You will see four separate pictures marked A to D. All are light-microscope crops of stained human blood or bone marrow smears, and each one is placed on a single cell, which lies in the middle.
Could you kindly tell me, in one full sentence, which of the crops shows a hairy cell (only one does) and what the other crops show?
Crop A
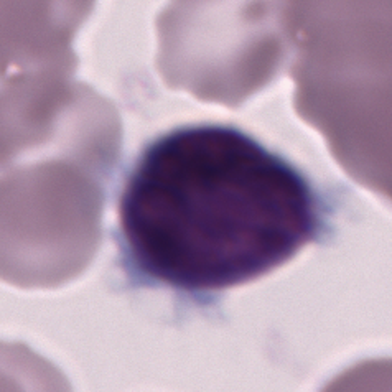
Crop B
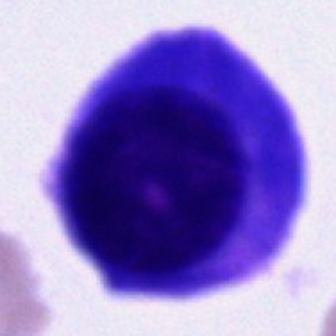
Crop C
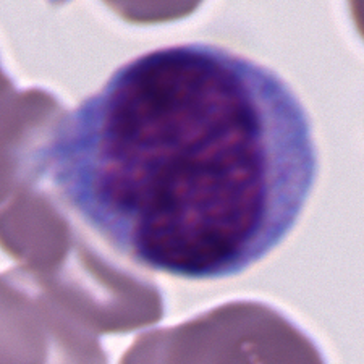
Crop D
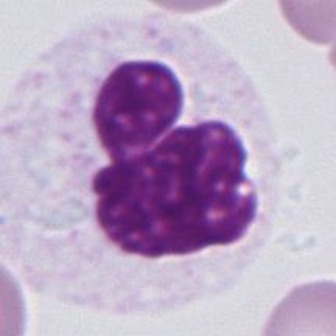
The middle of crop A holds a hairy cell, while crop B is a plasma cell, crop C is a monocyte and crop D is a segmented neutrophil.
